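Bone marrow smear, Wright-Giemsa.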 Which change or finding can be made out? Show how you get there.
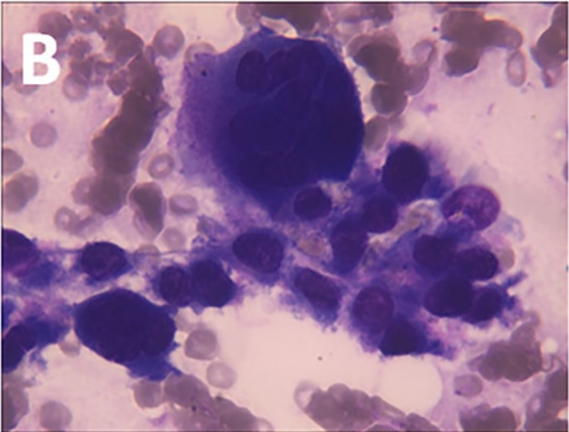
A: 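Focal or fused distribution with deep staining of cytoplasm and nucleus. Nucleated cells lie clustered together in a cohesive group. Cytoplasm and nuclei are stained dark purple-blue. Pale red blood cells surround the cluster.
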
